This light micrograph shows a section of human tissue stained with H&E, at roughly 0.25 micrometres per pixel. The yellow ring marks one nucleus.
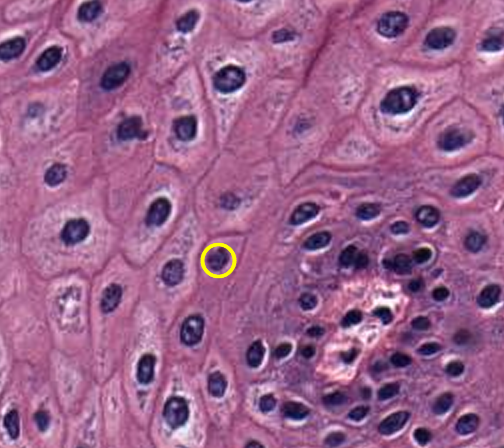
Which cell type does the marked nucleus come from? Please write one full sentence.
The marked nucleus is identified as belonging to a squamous epithelial cell.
